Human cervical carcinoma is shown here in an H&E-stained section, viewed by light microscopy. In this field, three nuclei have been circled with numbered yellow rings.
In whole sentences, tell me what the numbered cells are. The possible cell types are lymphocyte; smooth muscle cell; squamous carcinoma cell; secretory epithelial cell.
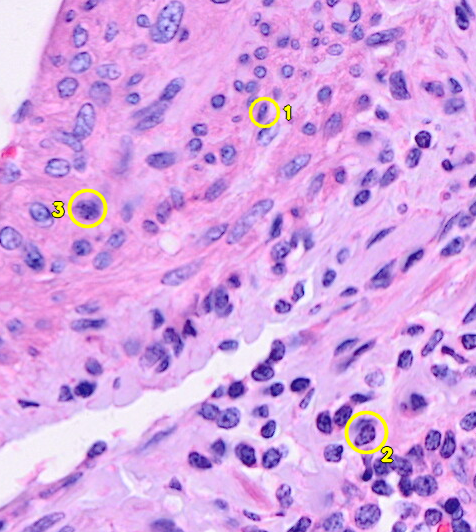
Cell 1 is a smooth muscle cell, cell 2 is a lymphocyte and cell 3 is a smooth muscle cell.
